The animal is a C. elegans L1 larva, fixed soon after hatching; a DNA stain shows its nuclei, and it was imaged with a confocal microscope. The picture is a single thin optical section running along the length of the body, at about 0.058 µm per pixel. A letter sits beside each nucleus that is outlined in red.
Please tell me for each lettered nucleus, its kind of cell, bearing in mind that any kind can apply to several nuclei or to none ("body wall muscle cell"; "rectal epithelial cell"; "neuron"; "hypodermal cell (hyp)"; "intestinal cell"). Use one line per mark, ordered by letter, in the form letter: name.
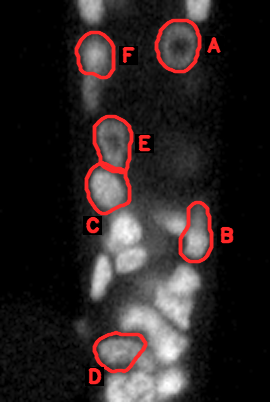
A: intestinal cell
B: body wall muscle cell
C: neuron
D: rectal epithelial cell
E: intestinal cell
F: neuron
